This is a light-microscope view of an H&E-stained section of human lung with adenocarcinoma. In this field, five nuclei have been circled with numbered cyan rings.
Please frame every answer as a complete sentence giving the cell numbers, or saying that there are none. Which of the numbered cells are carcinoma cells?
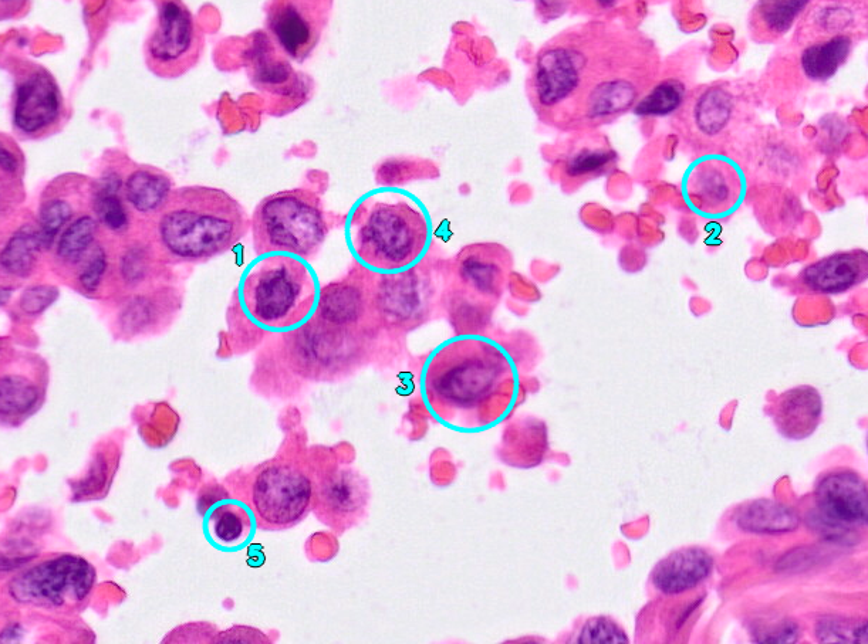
The cells to which the numbers 1, 3 and 4 refer are carcinoma cells.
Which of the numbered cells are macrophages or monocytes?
None but cell 2 among the numbered cells is a macrophage or monocyte.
